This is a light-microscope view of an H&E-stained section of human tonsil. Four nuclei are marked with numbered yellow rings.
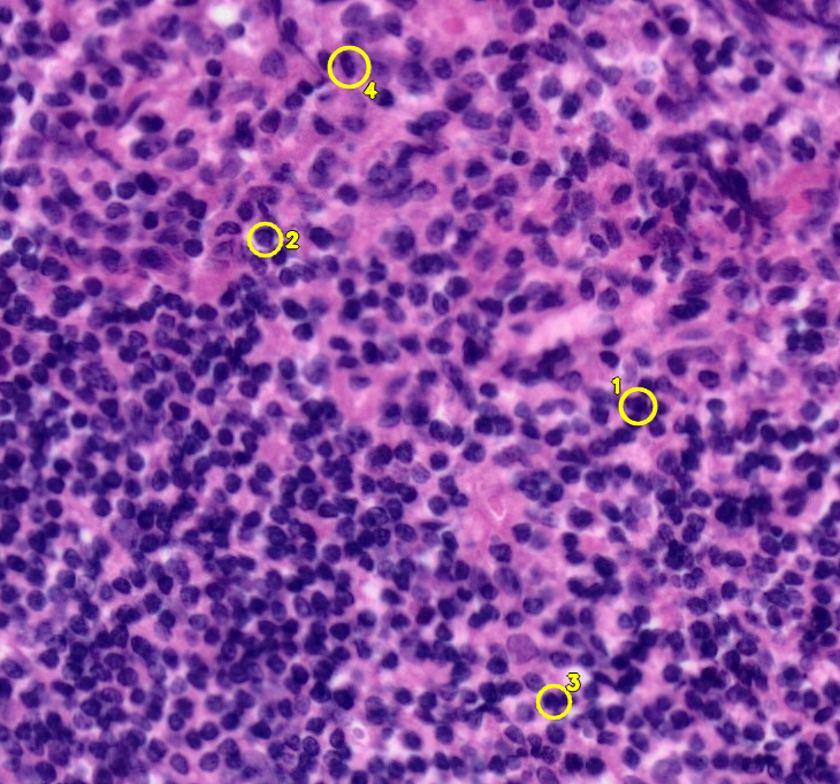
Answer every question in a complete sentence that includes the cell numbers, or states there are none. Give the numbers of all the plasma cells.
Across all the numbered cells, only number 4 is a plasma cell.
